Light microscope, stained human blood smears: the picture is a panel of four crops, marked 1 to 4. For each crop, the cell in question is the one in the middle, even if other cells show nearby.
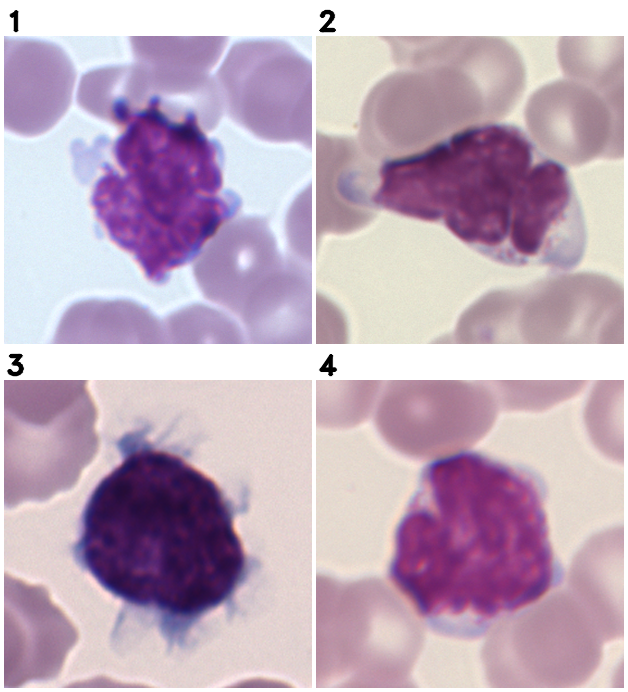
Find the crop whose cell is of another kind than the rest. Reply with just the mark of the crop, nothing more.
3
